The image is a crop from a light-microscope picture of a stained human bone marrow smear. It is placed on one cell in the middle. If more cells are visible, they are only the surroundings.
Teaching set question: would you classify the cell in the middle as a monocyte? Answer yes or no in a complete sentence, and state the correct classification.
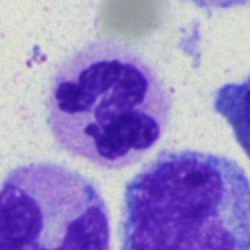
No, a monocyte is not what the central cell is; it is a segmented neutrophil.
